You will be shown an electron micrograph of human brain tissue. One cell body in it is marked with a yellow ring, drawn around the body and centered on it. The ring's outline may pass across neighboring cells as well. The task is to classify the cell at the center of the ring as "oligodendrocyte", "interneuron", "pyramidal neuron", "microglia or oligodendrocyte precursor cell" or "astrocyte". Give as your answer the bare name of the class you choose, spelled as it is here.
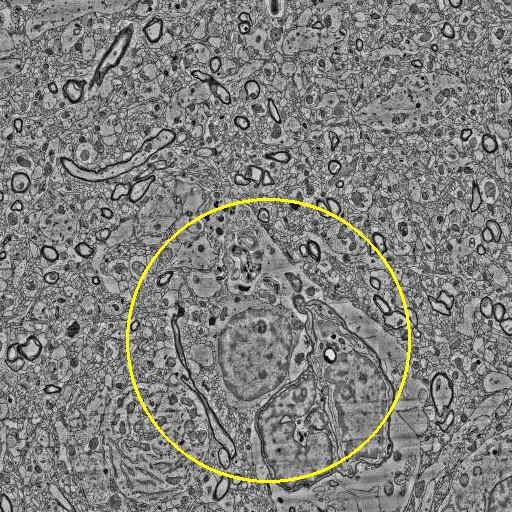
oligodendrocyte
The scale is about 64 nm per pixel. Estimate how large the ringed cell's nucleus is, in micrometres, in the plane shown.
About 6 by 5 micrometres in this plane.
